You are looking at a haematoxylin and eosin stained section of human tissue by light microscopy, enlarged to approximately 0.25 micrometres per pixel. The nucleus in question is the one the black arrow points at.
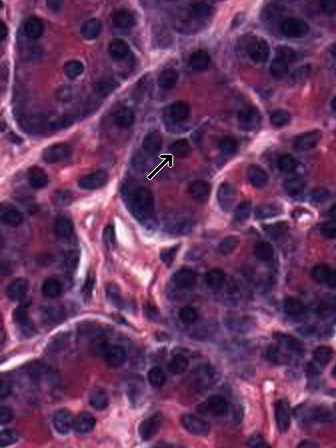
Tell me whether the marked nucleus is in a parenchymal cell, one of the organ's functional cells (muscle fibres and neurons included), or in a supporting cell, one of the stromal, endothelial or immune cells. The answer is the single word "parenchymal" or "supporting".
parenchymal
